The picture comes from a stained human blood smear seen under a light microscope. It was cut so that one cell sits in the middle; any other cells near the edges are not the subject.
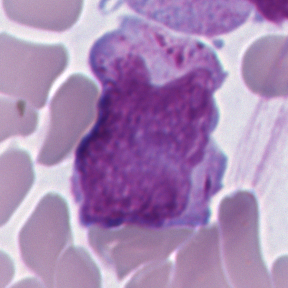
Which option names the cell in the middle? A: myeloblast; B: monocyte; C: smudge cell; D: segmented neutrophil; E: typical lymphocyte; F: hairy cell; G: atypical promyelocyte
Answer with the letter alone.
G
